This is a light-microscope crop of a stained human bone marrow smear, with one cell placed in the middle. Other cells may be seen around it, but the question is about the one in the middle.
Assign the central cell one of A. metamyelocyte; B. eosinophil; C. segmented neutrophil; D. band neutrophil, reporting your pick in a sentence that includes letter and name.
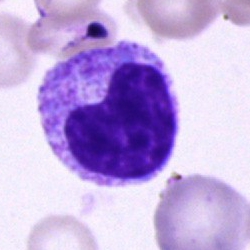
Option A is correct here, and the cell in the middle is a metamyelocyte.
